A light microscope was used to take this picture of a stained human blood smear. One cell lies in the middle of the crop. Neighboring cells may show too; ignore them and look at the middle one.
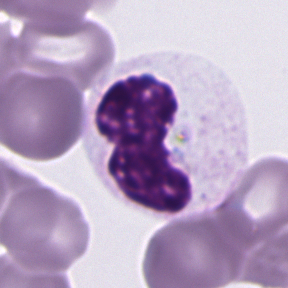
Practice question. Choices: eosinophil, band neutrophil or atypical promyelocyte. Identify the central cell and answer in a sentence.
Occupying the centre of the crop is a band neutrophil.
